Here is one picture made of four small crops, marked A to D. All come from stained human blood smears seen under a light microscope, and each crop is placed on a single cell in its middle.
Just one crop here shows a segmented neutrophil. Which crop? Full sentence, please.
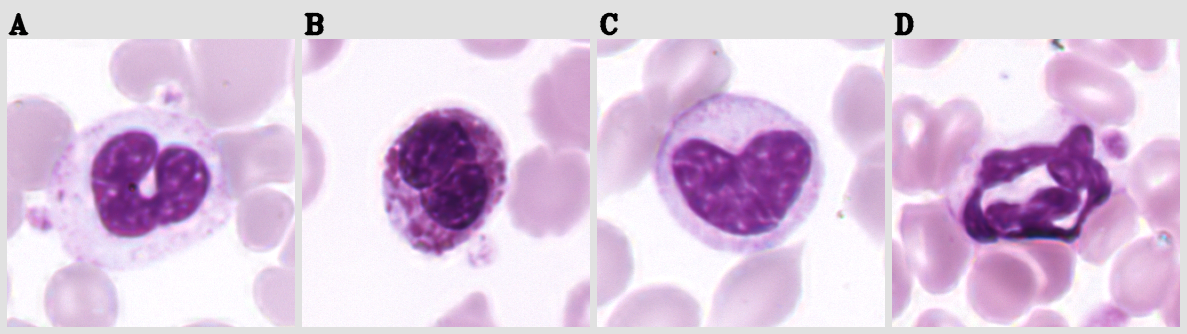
Of the crops shown, crop D depicts a segmented neutrophil.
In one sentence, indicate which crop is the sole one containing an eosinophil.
Crop B is the one in the set with an eosinophil at the center.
